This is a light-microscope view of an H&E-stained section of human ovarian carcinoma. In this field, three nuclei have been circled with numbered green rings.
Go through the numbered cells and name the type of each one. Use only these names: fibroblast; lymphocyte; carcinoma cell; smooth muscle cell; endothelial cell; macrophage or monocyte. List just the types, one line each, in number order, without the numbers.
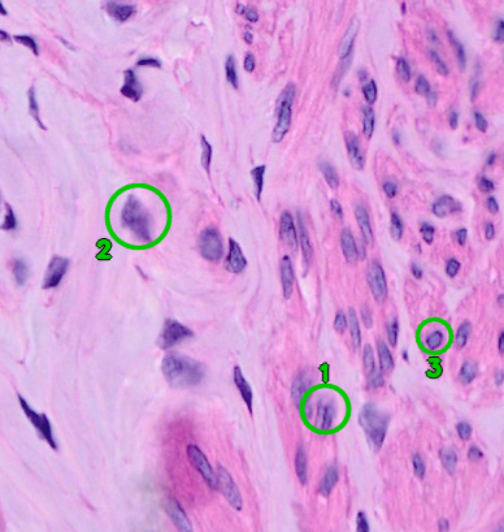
smooth muscle cell
fibroblast
smooth muscle cell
